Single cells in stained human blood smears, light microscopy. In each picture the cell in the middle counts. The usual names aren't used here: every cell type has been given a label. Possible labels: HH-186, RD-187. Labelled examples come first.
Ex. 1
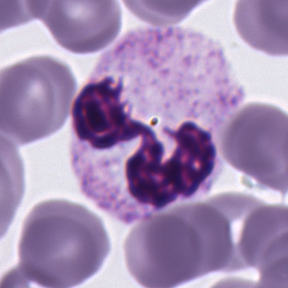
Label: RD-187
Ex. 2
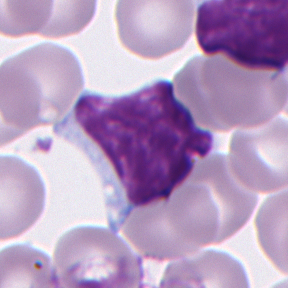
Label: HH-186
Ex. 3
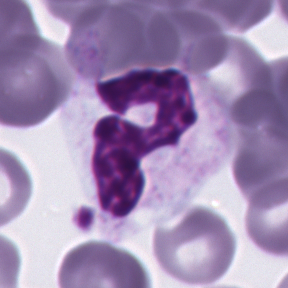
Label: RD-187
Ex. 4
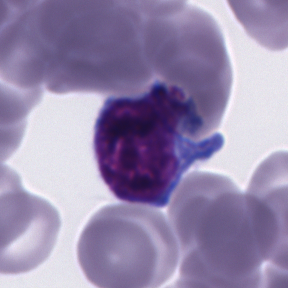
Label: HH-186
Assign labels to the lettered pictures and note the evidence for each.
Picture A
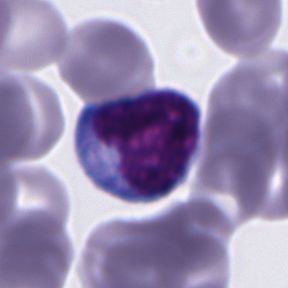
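HH-186. Evidence: The cytoplasm is blue and forms a crescent mostly on the lower left side of the nucleus.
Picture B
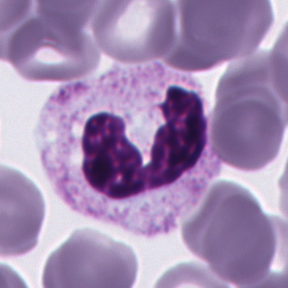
RD-187. Evidence: The nucleus is U-shaped with its opening facing upward.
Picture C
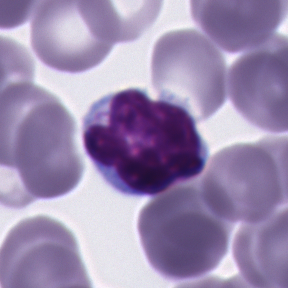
HH-186. Evidence: The nucleus fills most of the cell.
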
